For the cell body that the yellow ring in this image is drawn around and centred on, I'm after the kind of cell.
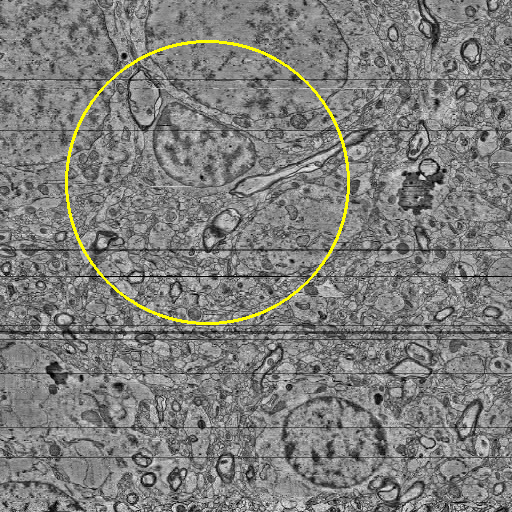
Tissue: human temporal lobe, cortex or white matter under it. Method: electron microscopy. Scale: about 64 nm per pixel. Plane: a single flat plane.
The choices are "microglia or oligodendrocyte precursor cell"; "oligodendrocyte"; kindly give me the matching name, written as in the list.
oligodendrocyte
